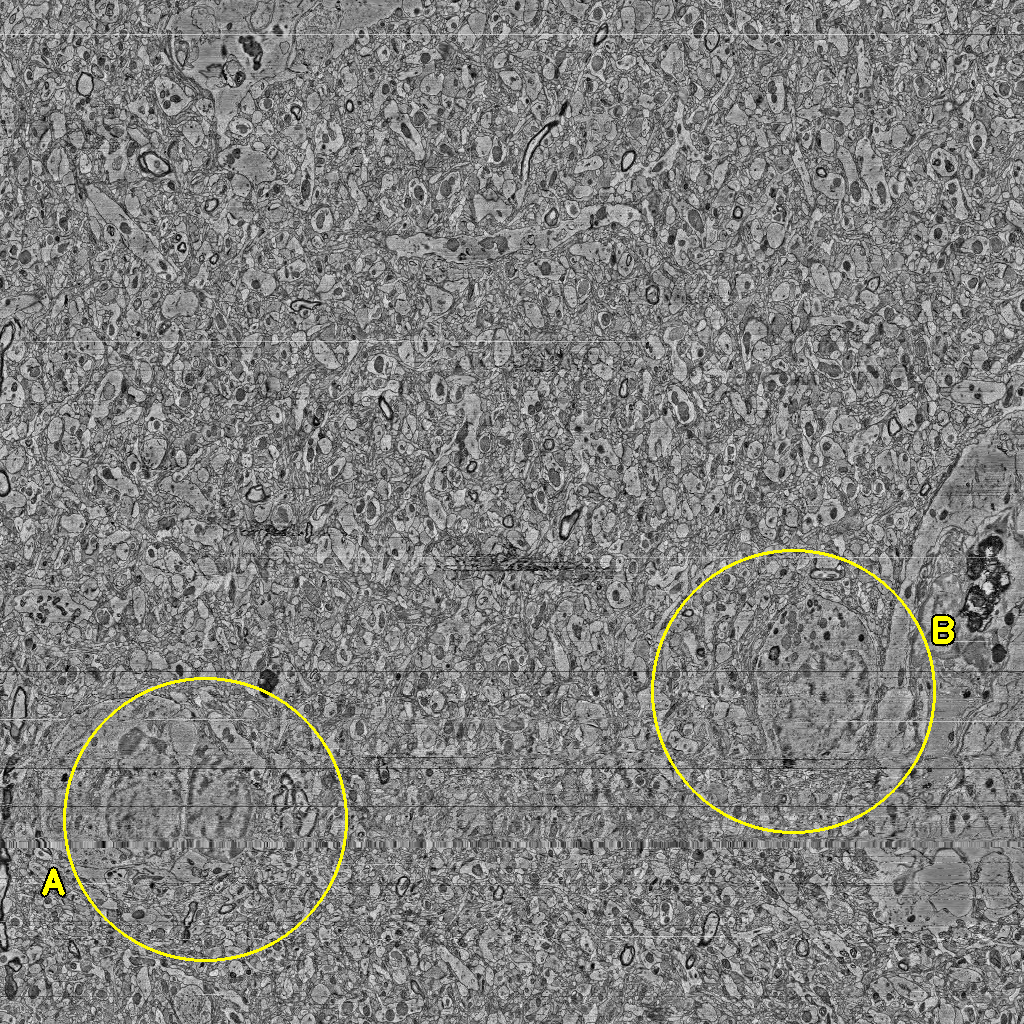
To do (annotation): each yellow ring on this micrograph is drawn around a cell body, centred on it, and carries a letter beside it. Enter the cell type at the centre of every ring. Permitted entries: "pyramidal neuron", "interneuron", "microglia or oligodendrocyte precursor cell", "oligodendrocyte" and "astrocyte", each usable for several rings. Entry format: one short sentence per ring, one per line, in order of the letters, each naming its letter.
Ring A: the cell at its centre is an oligodendrocyte.
Ring B: the cell at its centre is an interneuron.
